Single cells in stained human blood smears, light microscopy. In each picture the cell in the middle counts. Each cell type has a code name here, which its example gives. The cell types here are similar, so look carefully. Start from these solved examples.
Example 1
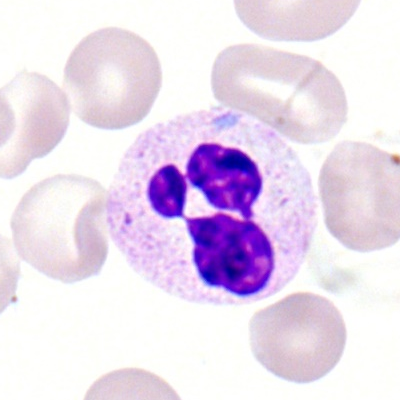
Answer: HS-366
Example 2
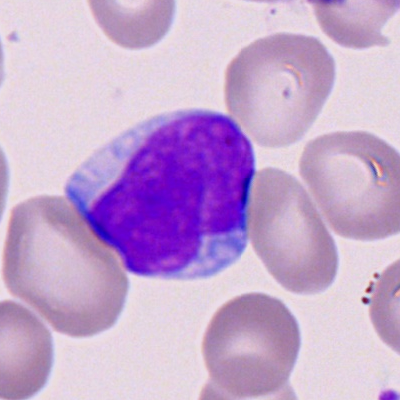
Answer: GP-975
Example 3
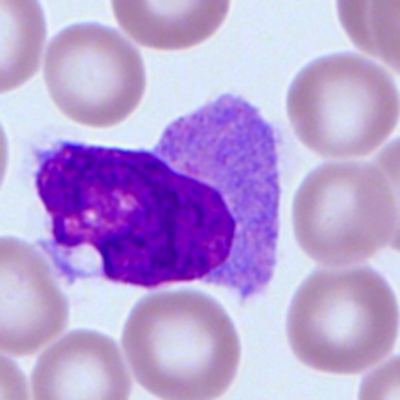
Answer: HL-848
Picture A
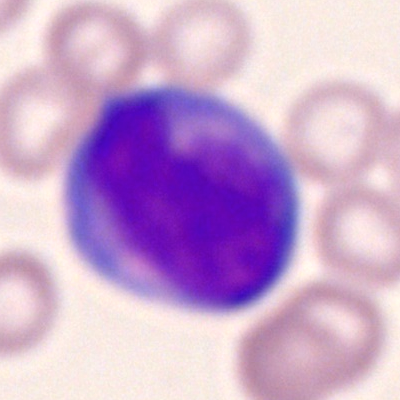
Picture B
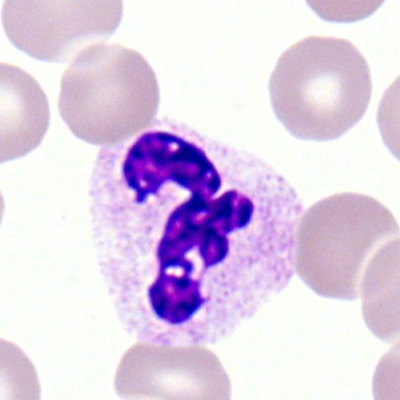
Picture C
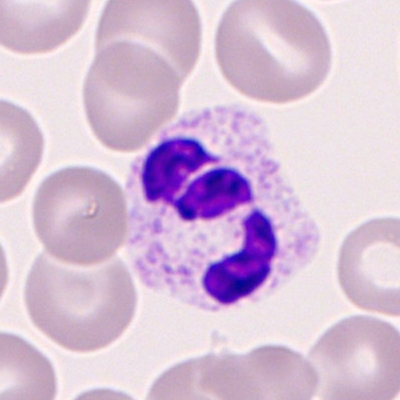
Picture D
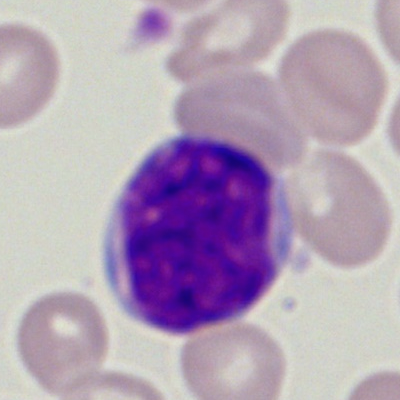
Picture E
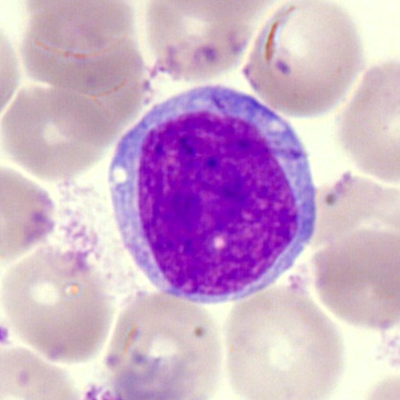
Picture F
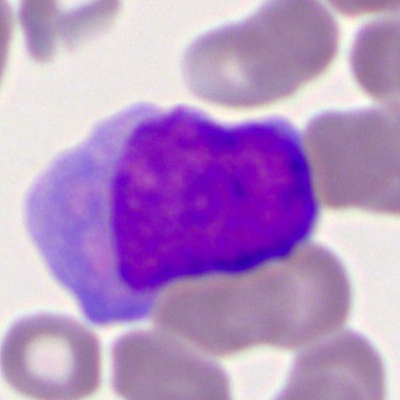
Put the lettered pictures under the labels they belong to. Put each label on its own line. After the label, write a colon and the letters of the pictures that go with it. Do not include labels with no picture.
HS-366: B, C
GP-975: A, D, E, F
